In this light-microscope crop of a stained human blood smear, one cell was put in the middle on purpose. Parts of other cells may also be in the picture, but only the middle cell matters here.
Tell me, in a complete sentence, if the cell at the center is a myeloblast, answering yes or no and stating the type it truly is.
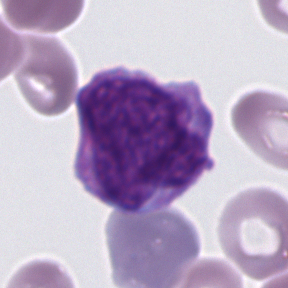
No, the cell in the centre is to be called an atypical promyelocyte instead of a myeloblast.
